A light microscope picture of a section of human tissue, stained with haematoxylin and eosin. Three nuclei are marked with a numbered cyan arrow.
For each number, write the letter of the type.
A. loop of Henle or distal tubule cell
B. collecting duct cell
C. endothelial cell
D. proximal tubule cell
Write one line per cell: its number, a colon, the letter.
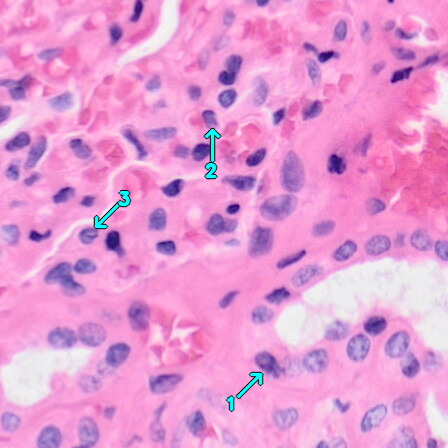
1: B
2: C
3: C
